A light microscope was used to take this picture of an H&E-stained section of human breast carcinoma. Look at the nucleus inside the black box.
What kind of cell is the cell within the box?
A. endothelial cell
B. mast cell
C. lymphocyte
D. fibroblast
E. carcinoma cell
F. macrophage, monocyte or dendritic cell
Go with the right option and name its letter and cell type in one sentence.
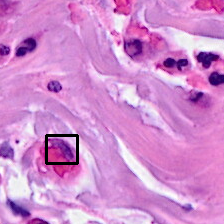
Under option A, the cell within the box is an endothelial cell, which is the correct identification.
